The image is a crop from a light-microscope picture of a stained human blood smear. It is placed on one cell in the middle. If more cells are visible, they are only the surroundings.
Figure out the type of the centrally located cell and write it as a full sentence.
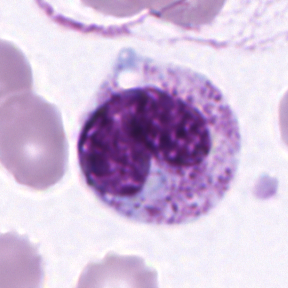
By classification, the middle cell of this crop is a metamyelocyte.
